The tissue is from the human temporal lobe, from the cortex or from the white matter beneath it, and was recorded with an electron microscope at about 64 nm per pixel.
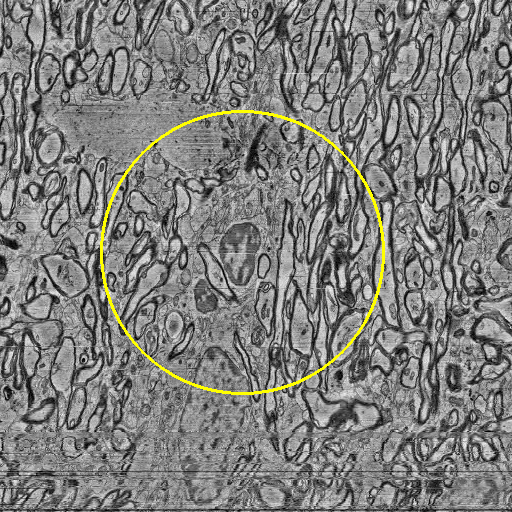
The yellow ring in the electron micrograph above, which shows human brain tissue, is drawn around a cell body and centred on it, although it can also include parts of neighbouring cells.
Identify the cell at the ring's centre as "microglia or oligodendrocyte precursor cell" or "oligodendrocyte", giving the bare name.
microglia or oligodendrocyte precursor cell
